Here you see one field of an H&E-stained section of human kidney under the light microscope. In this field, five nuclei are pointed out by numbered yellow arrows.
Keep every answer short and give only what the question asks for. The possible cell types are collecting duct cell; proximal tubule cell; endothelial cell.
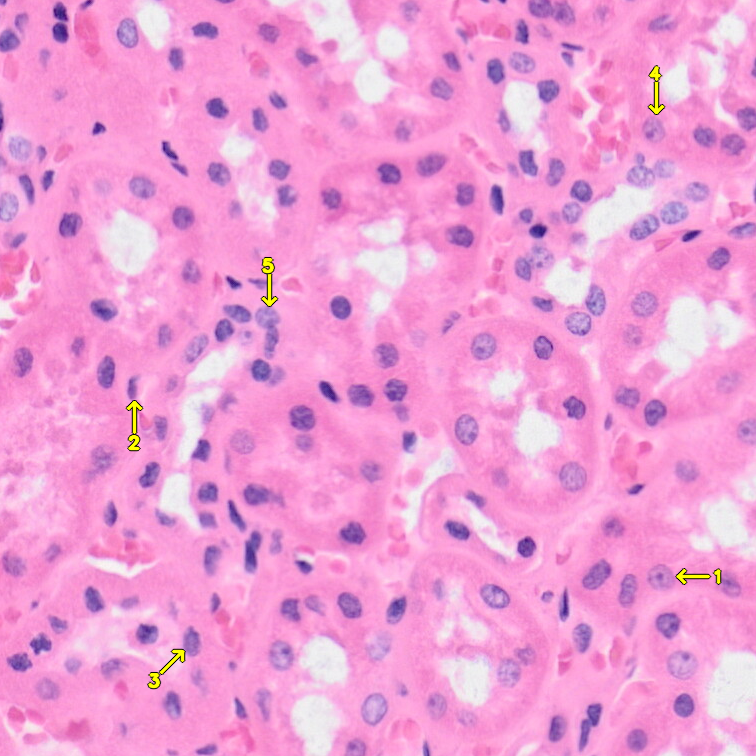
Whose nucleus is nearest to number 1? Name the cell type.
proximal tubule cell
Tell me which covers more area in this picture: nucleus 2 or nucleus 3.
3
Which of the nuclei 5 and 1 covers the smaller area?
5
